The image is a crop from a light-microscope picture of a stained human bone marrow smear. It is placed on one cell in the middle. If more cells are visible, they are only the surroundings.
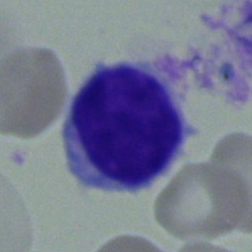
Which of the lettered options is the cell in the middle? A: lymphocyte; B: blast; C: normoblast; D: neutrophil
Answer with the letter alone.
A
